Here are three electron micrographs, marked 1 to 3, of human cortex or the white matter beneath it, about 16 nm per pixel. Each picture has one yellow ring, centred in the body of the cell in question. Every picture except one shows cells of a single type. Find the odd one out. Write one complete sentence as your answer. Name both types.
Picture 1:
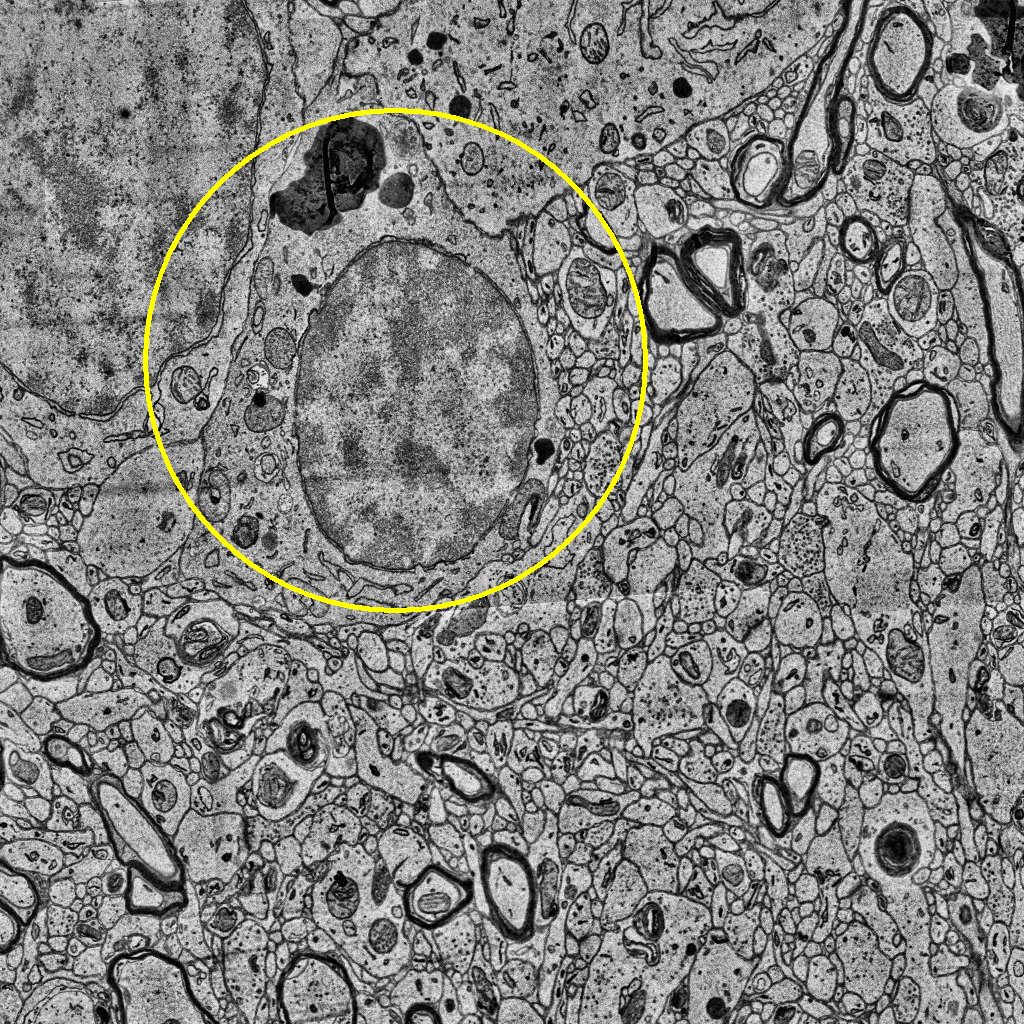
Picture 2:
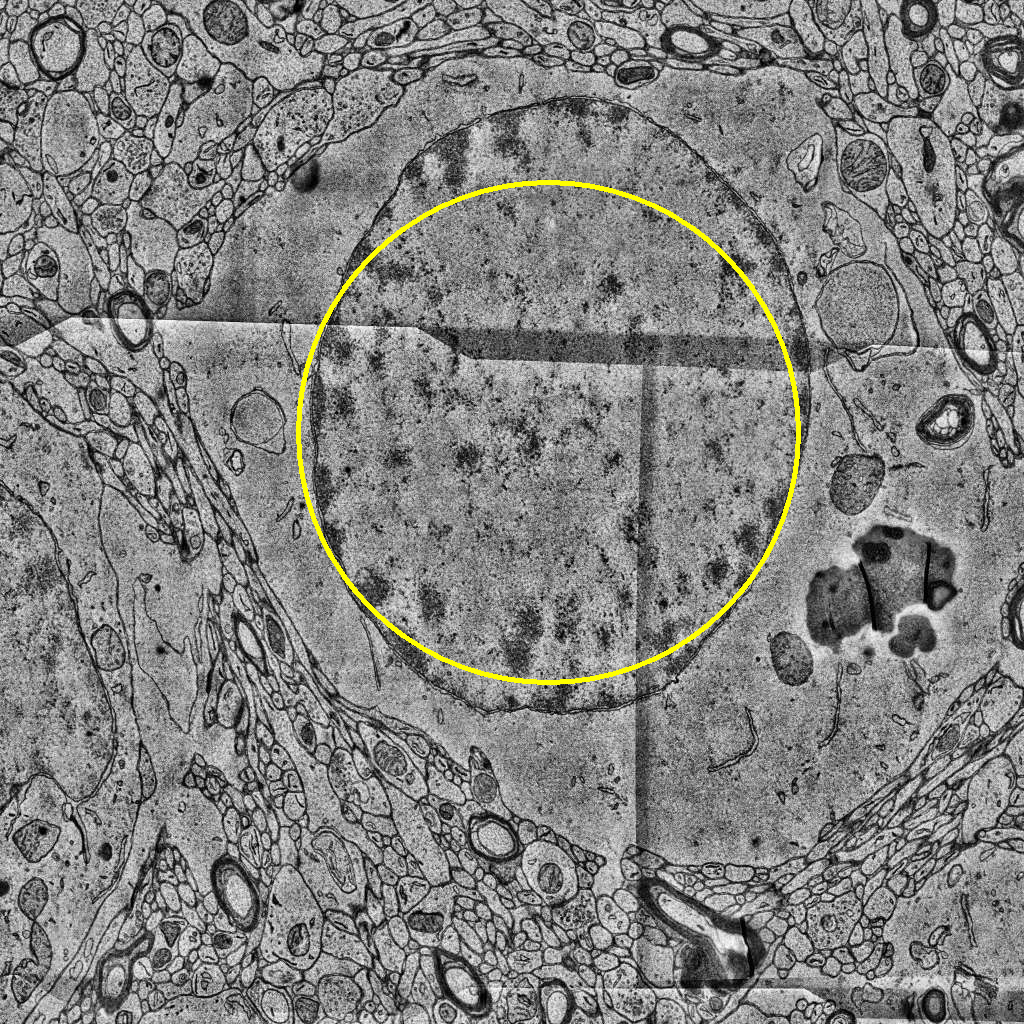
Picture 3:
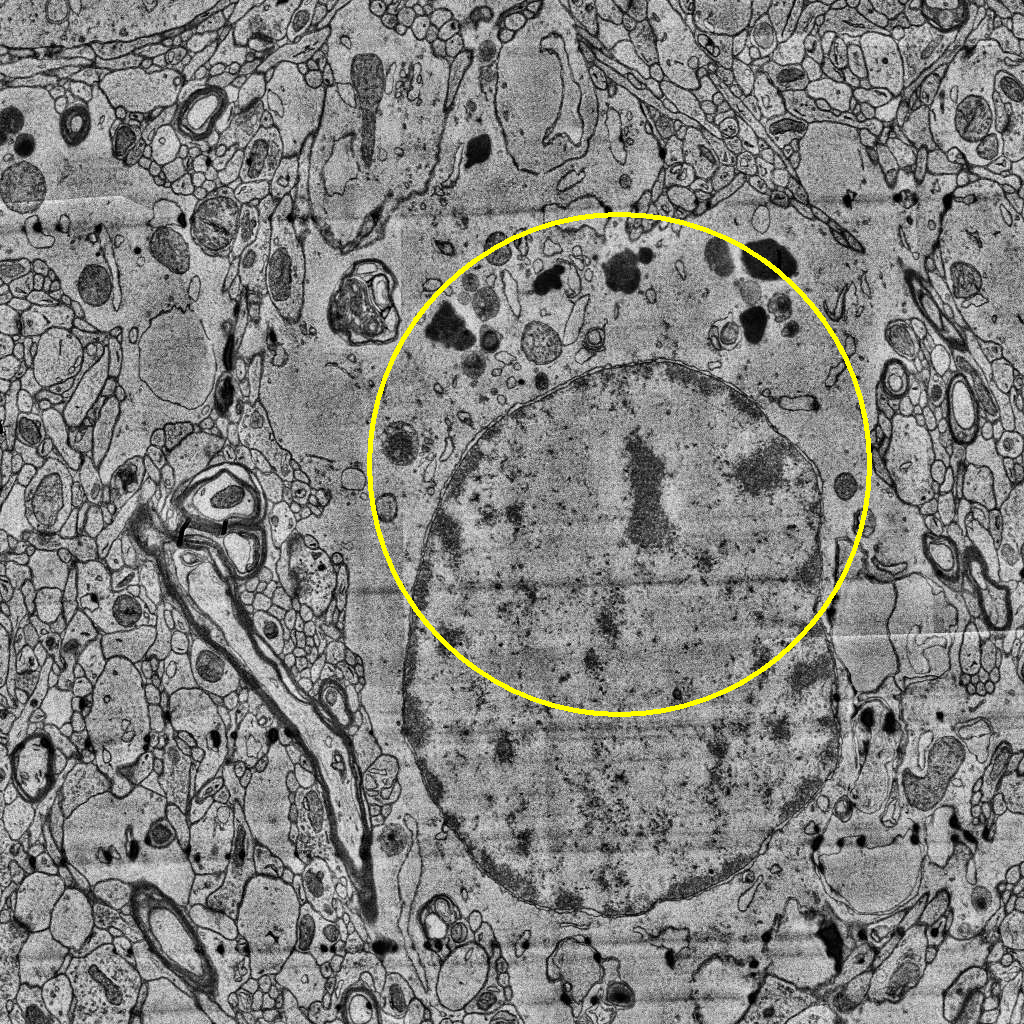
Unlike the rest, which show astrocytes, picture 1 shows an oligodendrocyte.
